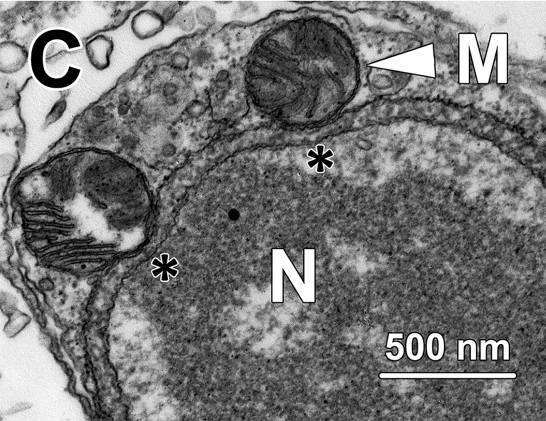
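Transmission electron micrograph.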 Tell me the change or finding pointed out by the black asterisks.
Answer: Depressions.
